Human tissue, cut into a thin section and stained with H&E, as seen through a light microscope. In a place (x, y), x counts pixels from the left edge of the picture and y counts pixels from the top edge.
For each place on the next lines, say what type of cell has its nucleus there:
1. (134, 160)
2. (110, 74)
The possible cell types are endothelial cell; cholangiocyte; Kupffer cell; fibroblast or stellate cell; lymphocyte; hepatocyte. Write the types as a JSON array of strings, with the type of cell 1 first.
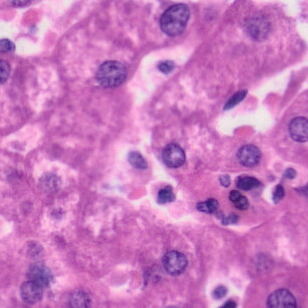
["Kupffer cell", "hepatocyte"]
